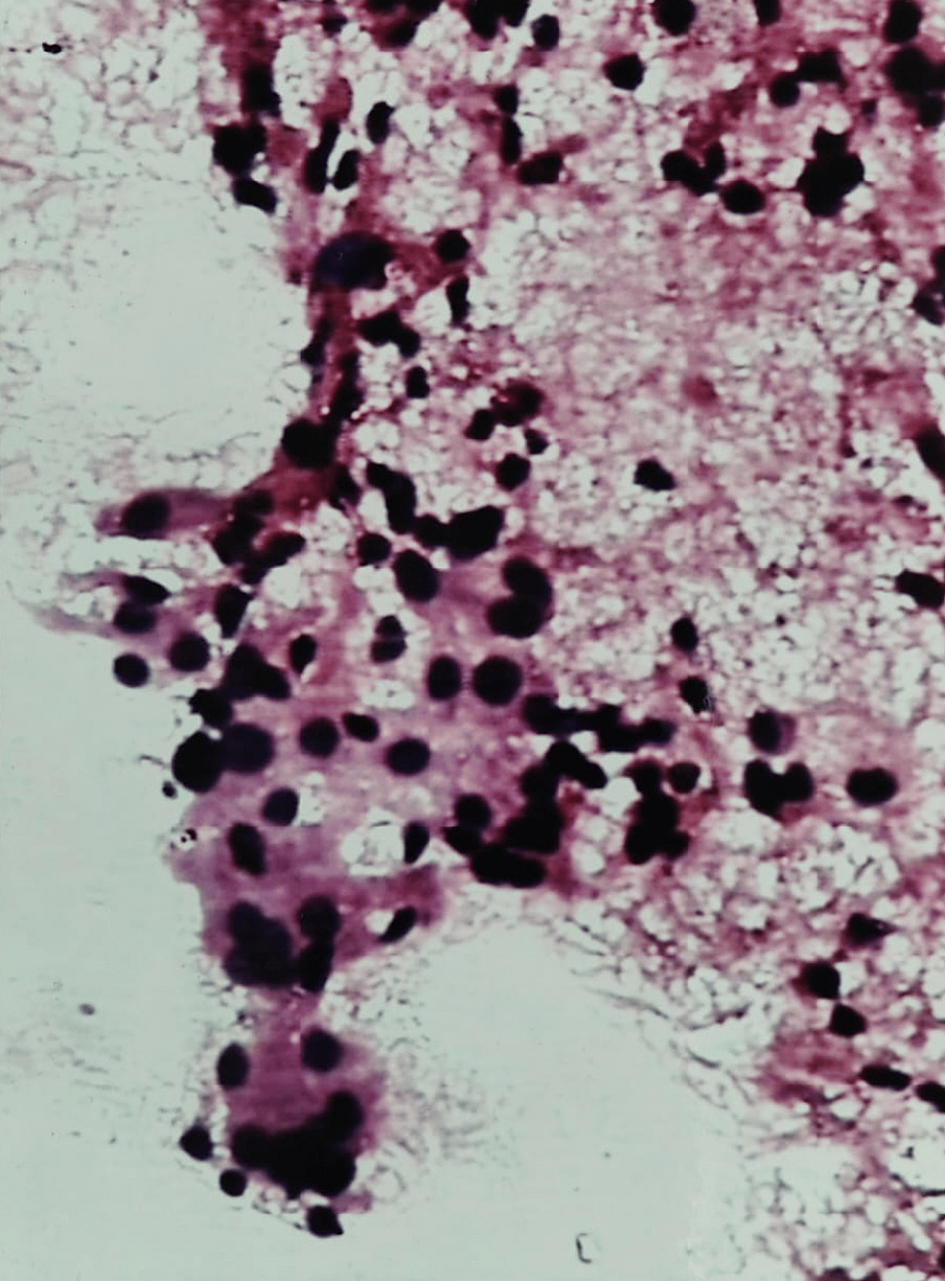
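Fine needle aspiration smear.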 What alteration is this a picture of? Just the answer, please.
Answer: Hashimoto’s thyroiditis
